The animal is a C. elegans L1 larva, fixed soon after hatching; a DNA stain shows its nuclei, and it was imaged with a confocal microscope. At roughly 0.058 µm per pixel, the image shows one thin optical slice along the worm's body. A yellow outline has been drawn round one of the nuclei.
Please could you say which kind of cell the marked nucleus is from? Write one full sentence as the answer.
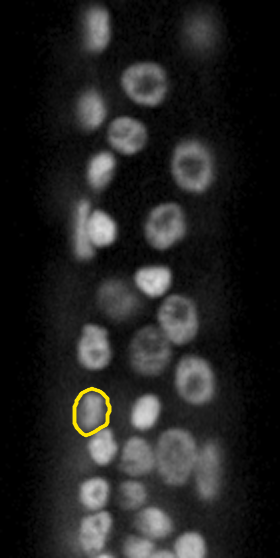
This is the nucleus of a body wall muscle cell.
